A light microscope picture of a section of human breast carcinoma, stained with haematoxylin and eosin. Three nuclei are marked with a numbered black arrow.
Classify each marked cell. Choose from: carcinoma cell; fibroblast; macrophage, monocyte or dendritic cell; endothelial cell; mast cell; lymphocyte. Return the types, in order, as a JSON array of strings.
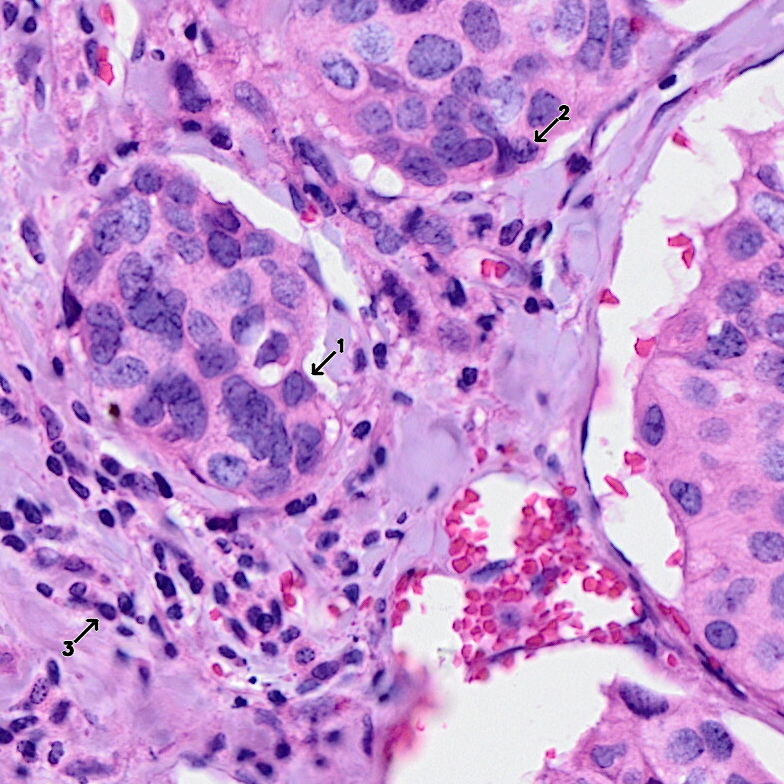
["carcinoma cell", "carcinoma cell", "lymphocyte"]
